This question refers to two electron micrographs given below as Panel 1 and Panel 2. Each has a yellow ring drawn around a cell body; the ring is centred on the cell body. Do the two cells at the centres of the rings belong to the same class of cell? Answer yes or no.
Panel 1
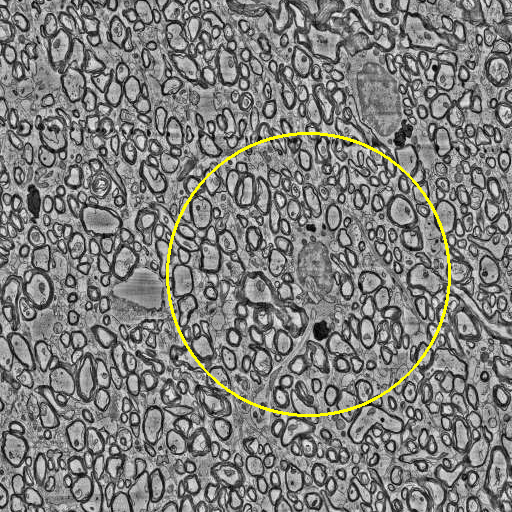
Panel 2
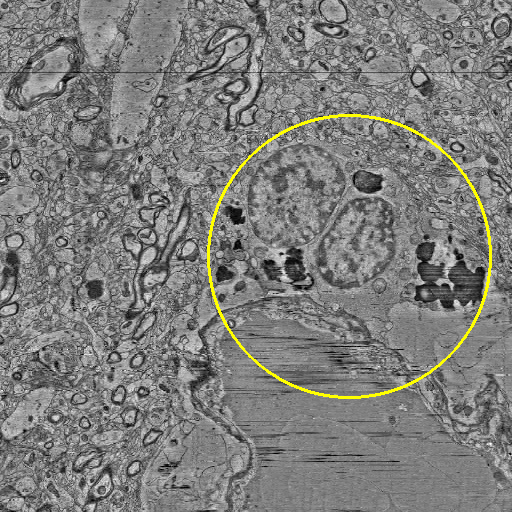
yes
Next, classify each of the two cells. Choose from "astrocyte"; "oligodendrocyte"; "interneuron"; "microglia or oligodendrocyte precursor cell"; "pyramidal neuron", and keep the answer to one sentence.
The ring centre holds an oligodendrocyte in each of the two pictures.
